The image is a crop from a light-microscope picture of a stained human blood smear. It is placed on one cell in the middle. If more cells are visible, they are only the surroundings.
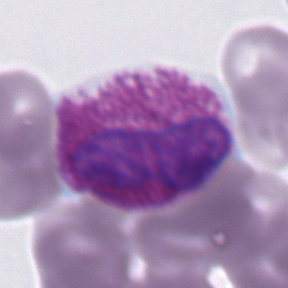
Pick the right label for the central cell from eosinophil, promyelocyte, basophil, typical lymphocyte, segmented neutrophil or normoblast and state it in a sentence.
The centrally placed cell is classified as an eosinophil.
